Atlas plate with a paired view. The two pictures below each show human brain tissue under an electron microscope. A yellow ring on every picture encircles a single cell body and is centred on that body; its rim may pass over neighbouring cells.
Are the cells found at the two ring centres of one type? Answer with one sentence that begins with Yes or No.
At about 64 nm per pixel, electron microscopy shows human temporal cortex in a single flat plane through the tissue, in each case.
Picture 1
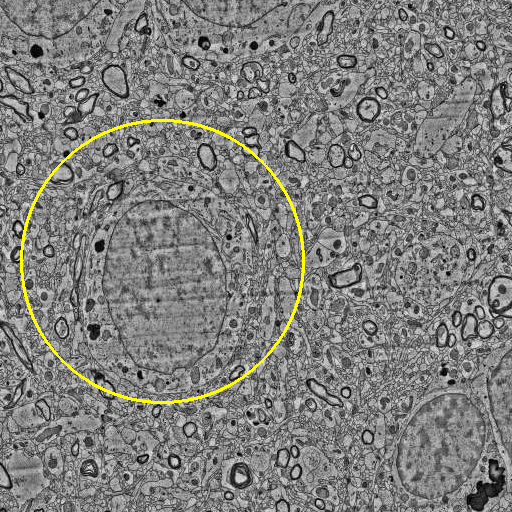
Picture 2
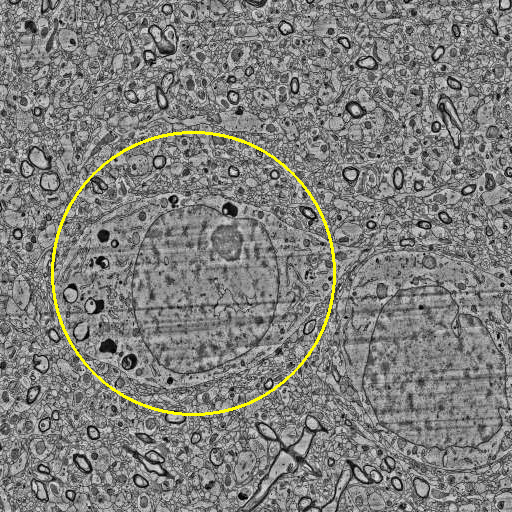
No, the two cells lying at the centres of the rings are of two types.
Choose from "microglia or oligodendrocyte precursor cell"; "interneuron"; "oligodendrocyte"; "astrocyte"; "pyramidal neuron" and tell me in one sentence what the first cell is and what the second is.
What the first ring is centred on is a pyramidal neuron; what the second ring is centred on is an interneuron.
